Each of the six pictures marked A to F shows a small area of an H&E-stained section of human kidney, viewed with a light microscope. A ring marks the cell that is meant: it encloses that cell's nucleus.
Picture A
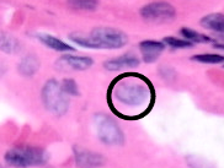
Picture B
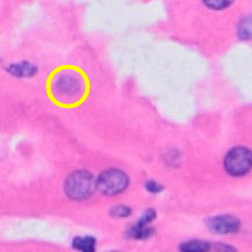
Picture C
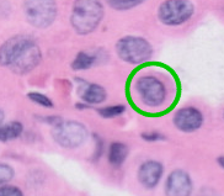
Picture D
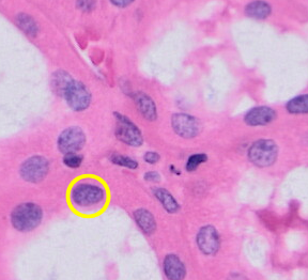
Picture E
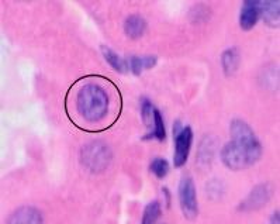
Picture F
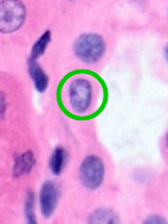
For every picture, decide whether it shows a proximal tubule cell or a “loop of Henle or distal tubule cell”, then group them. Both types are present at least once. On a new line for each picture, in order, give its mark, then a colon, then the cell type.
A: loop of Henle or distal tubule cell
B: proximal tubule cell
C: loop of Henle or distal tubule cell
D: loop of Henle or distal tubule cell
E: proximal tubule cell
F: loop of Henle or distal tubule cell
